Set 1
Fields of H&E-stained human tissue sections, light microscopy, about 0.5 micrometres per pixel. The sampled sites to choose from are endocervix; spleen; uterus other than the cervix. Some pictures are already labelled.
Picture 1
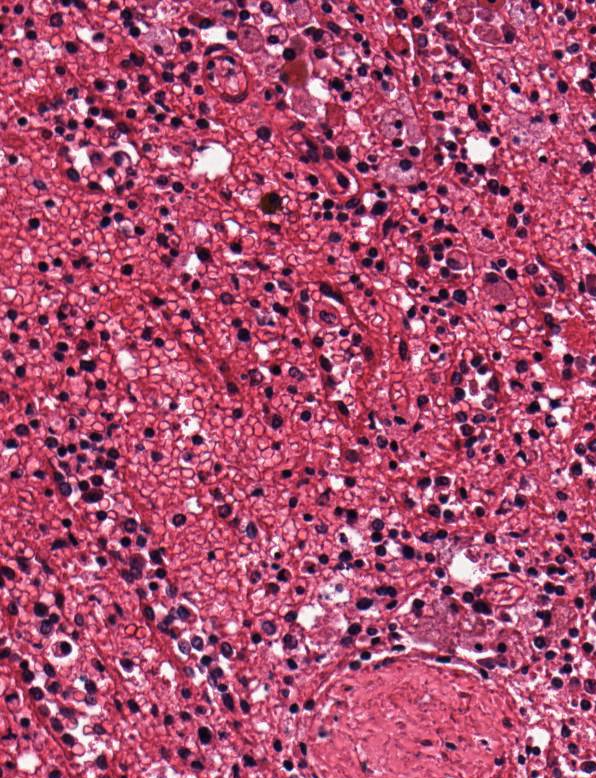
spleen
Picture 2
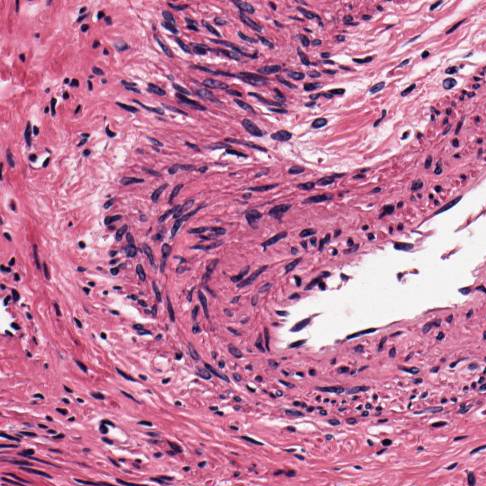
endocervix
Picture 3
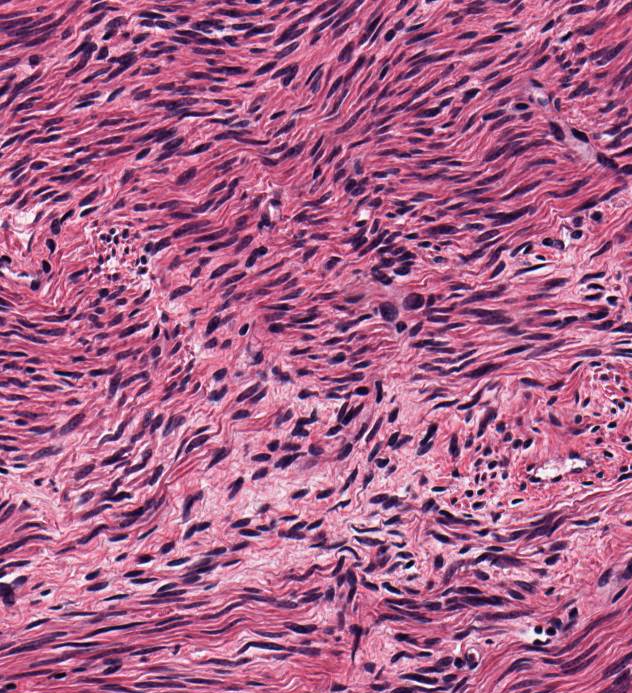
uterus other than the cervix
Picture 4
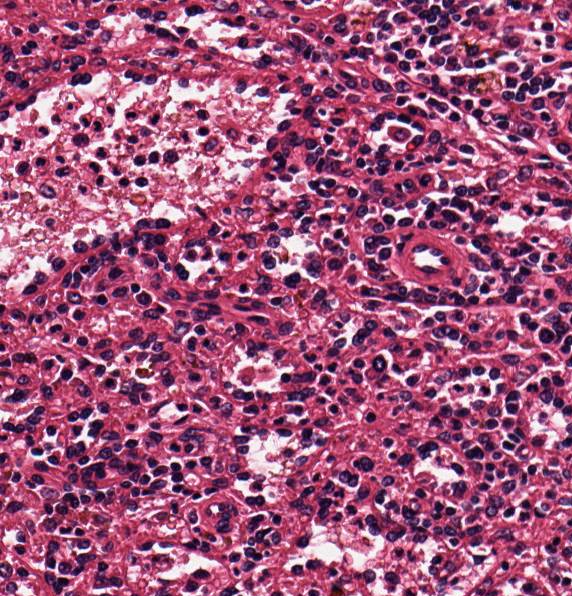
spleen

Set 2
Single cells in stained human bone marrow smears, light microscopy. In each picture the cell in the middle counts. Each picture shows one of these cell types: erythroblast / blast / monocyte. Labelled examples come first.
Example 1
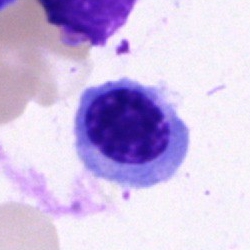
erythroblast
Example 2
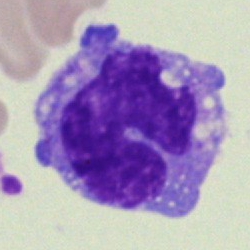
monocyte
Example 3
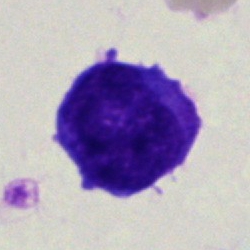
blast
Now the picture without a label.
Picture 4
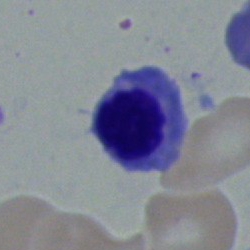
erythroblast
